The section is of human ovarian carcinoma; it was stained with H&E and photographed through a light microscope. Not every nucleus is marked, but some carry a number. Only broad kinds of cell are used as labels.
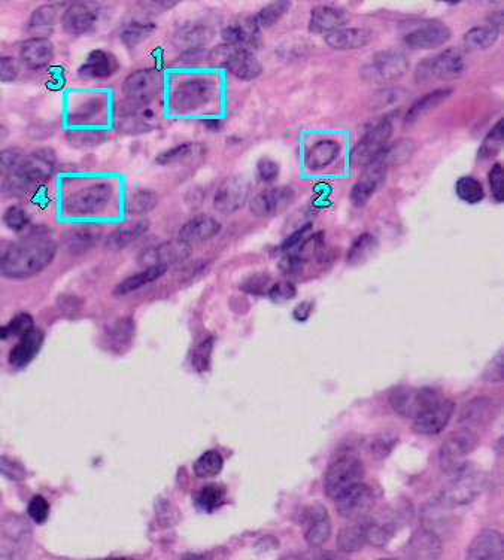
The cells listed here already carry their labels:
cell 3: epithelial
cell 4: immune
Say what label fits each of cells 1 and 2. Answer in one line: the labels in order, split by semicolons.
epithelial; immune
